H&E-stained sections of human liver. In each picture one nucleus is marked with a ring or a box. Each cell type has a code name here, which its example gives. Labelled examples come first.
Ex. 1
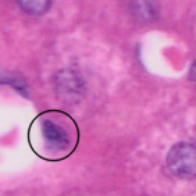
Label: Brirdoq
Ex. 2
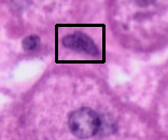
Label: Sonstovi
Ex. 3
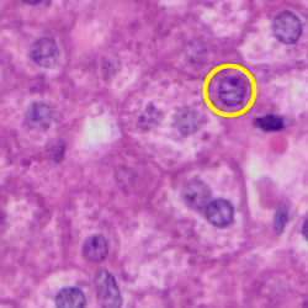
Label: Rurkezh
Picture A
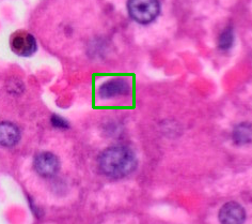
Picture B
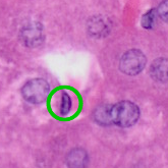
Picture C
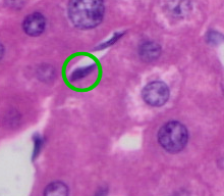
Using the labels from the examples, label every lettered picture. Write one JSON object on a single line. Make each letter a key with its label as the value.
{"A": "Sonstovi", "B": "Brirdoq", "C": "Brirdoq"}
